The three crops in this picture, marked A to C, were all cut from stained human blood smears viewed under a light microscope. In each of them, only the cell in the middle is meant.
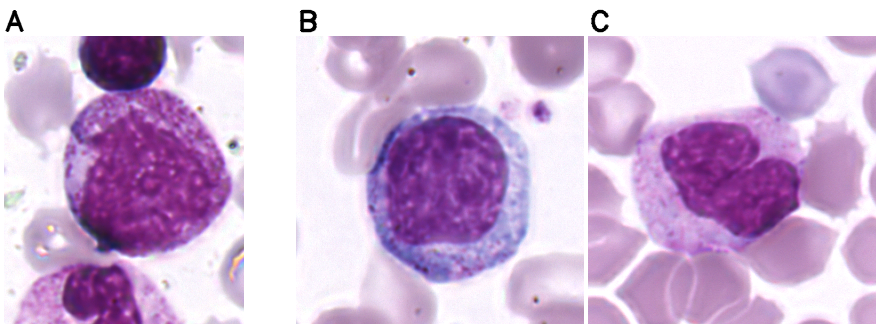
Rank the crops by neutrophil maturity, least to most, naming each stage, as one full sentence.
In maturational order, earliest to latest, the sequence is crop B (a promyelocyte), crop A (a myelocyte) and crop C (a band neutrophil).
